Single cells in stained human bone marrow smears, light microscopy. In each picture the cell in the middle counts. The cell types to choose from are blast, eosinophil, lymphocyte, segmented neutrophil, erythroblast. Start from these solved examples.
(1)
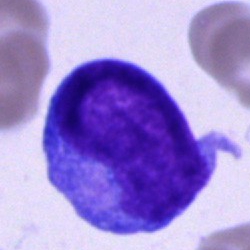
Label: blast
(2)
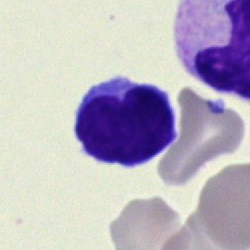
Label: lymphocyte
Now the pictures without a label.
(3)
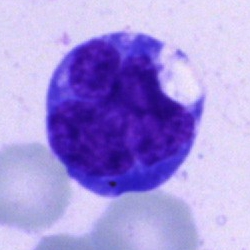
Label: blast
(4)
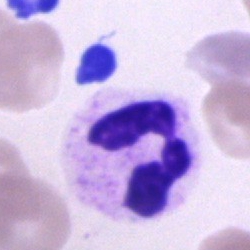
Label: segmented neutrophil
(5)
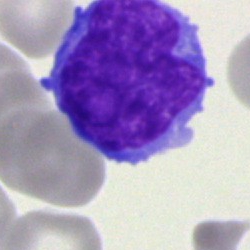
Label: blast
